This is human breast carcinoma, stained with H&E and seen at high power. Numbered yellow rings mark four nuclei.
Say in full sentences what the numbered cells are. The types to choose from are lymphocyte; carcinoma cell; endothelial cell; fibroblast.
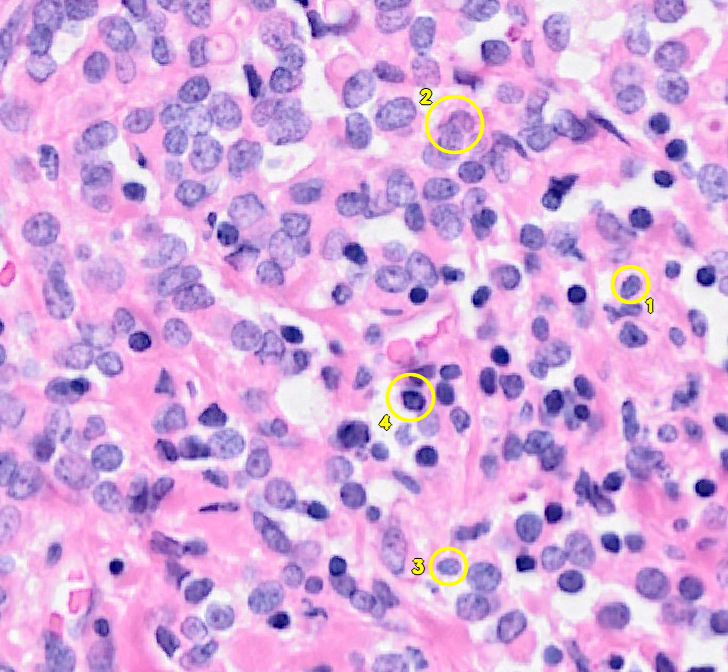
Cells 1, 3 and 4 are lymphocytes. Cell 2 is a carcinoma cell.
